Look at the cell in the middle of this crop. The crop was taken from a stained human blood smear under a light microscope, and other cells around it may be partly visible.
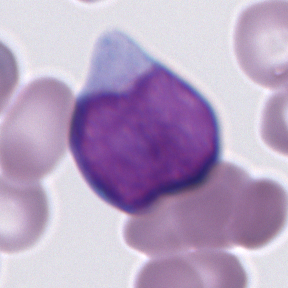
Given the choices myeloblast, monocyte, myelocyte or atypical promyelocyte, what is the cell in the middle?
myeloblast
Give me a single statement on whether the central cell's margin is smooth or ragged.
The border of the cell is irregular, being either ragged or extended into projections.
